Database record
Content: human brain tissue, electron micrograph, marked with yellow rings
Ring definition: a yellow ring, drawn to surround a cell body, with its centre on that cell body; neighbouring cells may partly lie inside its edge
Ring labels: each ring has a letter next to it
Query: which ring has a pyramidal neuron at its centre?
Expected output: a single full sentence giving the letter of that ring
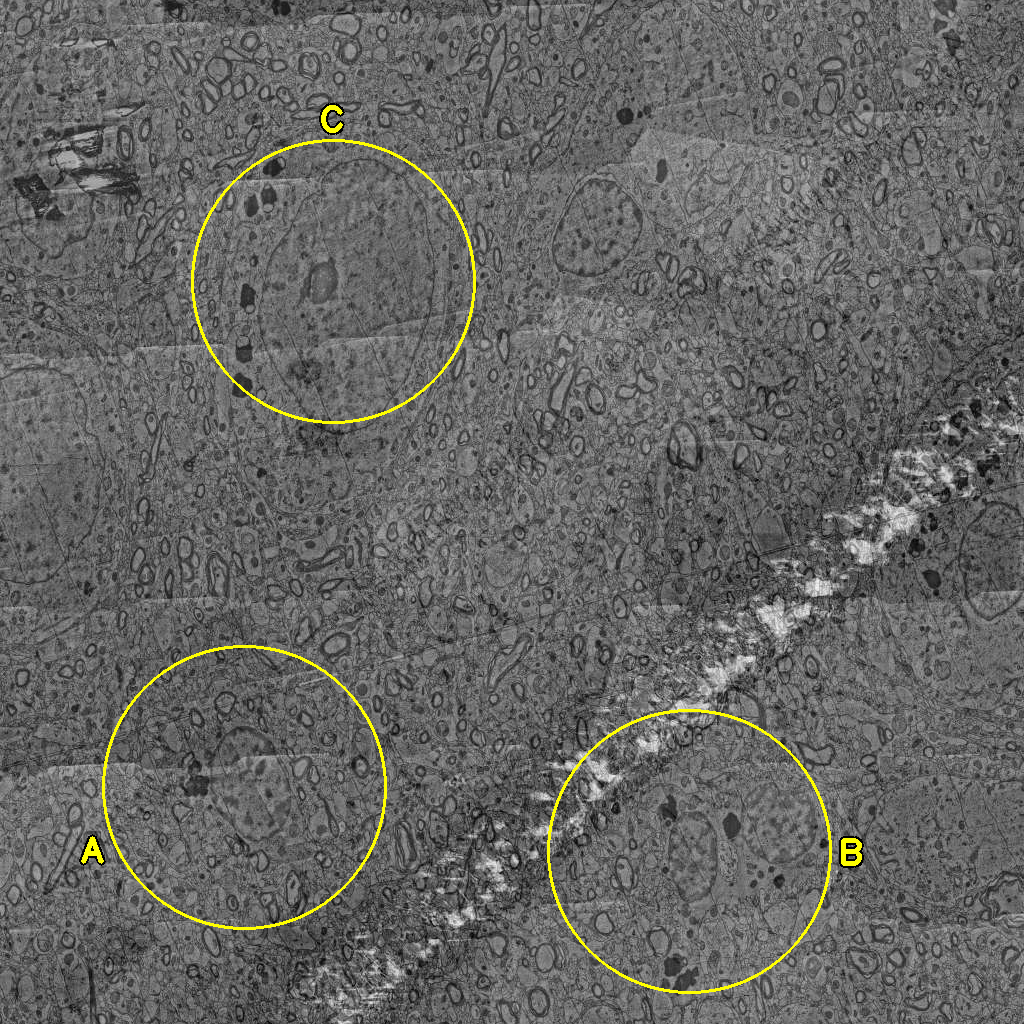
In the picture, the cell being queried lies at the centre of ring C.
